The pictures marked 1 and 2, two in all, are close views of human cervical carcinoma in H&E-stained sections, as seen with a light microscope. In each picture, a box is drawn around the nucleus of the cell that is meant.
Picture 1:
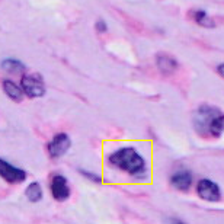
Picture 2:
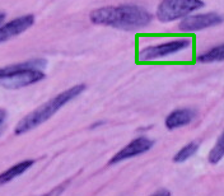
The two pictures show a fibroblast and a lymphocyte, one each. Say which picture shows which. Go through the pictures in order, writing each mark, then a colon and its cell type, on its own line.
1: lymphocyte
2: fibroblast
